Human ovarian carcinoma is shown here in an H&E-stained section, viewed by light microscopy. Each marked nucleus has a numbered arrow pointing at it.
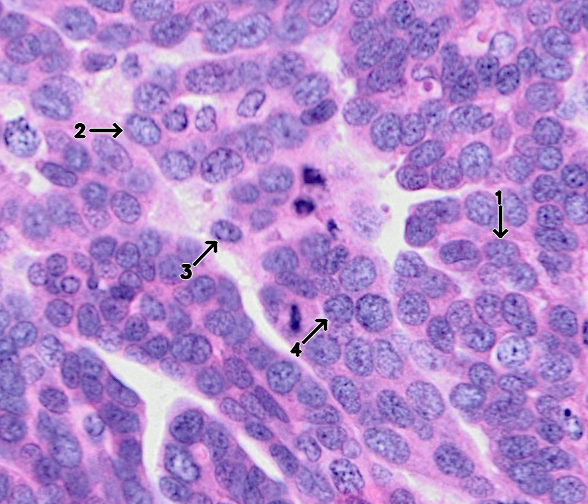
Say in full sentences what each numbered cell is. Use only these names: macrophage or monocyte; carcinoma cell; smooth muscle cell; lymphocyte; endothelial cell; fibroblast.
Cell 1 is a carcinoma cell, cell 2 is a carcinoma cell, cell 3 is a macrophage or monocyte and cell 4 is a carcinoma cell.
